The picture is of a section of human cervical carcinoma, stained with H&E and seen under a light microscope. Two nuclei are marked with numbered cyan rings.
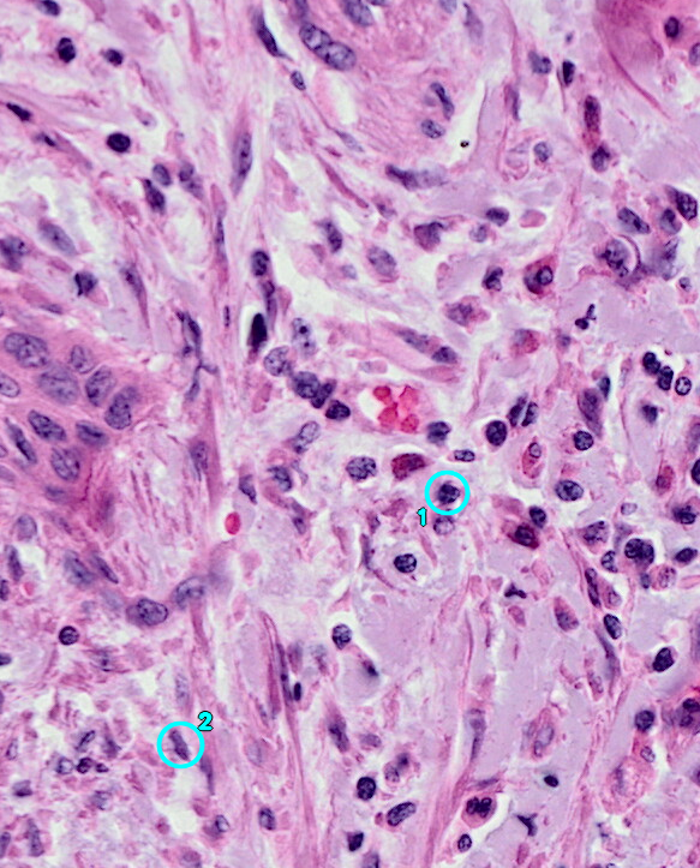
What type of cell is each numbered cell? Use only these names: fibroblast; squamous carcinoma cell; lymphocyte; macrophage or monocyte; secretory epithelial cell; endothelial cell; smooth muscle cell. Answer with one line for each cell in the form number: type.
1: lymphocyte
2: fibroblast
